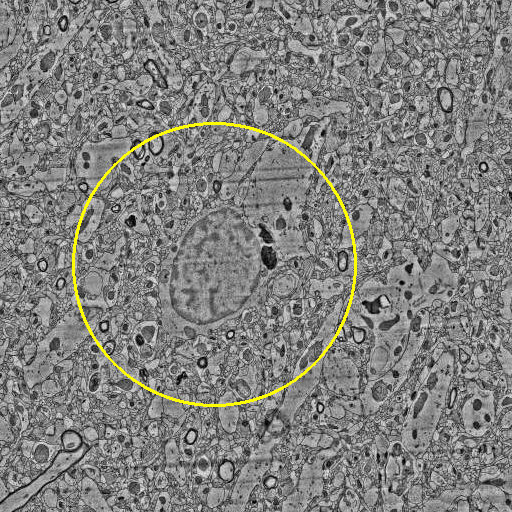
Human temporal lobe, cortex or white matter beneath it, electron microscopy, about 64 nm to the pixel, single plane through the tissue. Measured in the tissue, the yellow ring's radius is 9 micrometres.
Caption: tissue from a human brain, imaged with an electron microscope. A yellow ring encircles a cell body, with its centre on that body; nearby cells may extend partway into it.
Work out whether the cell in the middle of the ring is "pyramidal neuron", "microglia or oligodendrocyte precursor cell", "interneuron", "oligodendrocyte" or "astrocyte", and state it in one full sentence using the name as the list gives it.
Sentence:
In the picture, the cell that the yellow ring surrounds at its centre is an oligodendrocyte.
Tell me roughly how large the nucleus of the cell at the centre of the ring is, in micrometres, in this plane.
Roughly 8 by 6 micrometres is the size of the nucleus in this plane.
